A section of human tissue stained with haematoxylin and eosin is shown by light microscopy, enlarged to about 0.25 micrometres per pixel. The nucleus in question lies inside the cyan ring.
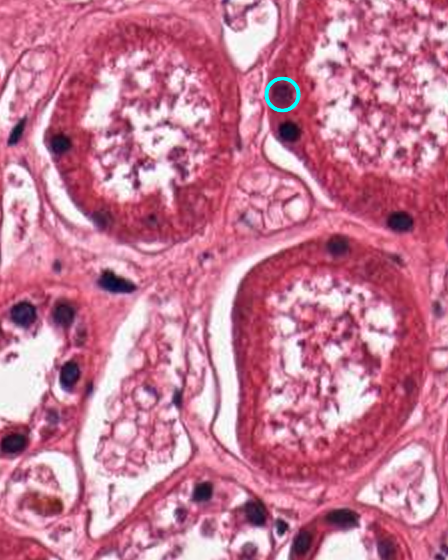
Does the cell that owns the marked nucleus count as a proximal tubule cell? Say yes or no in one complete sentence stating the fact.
Yes, in this image it is a proximal tubule cell that contains the marked nucleus.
